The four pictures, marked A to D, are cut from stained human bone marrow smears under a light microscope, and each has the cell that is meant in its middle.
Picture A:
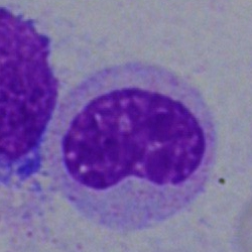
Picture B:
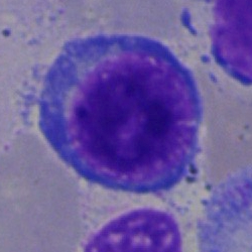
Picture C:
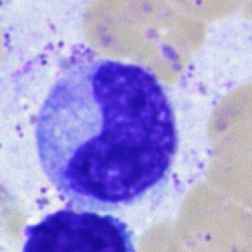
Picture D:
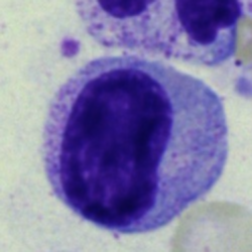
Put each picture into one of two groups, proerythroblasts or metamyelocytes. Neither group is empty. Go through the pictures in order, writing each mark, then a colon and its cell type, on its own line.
A: metamyelocyte
B: proerythroblast
C: metamyelocyte
D: metamyelocyte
